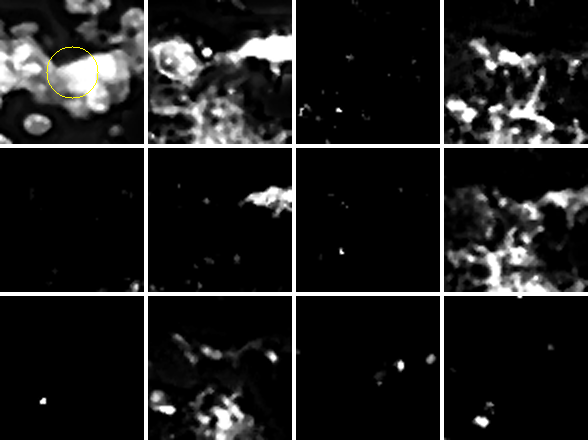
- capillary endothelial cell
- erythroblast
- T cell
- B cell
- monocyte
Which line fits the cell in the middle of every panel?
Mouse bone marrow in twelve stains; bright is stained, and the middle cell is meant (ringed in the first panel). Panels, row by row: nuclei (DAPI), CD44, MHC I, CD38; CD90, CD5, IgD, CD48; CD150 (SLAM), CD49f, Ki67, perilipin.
capillary endothelial cell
